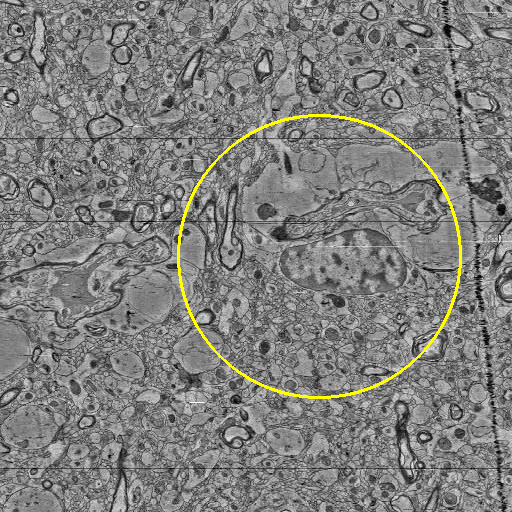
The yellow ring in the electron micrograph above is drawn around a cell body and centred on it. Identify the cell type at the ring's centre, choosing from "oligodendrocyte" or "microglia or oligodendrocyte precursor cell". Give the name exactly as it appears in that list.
microglia or oligodendrocyte precursor cell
